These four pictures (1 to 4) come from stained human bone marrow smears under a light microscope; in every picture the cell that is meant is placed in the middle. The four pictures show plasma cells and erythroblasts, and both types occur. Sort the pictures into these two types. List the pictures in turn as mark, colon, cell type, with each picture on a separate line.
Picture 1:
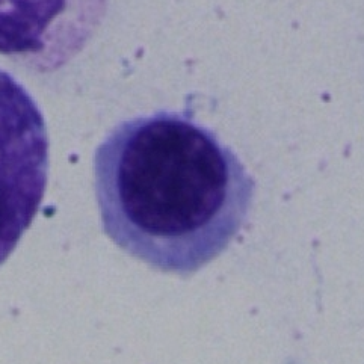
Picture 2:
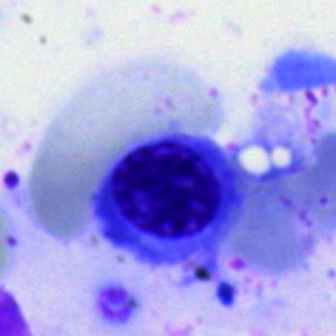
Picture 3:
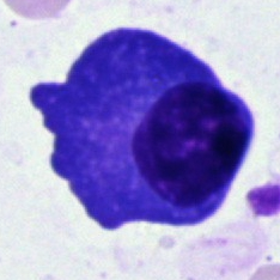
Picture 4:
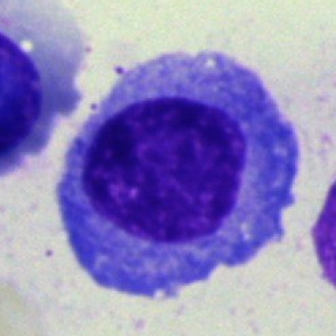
1: erythroblast
2: erythroblast
3: plasma cell
4: plasma cell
